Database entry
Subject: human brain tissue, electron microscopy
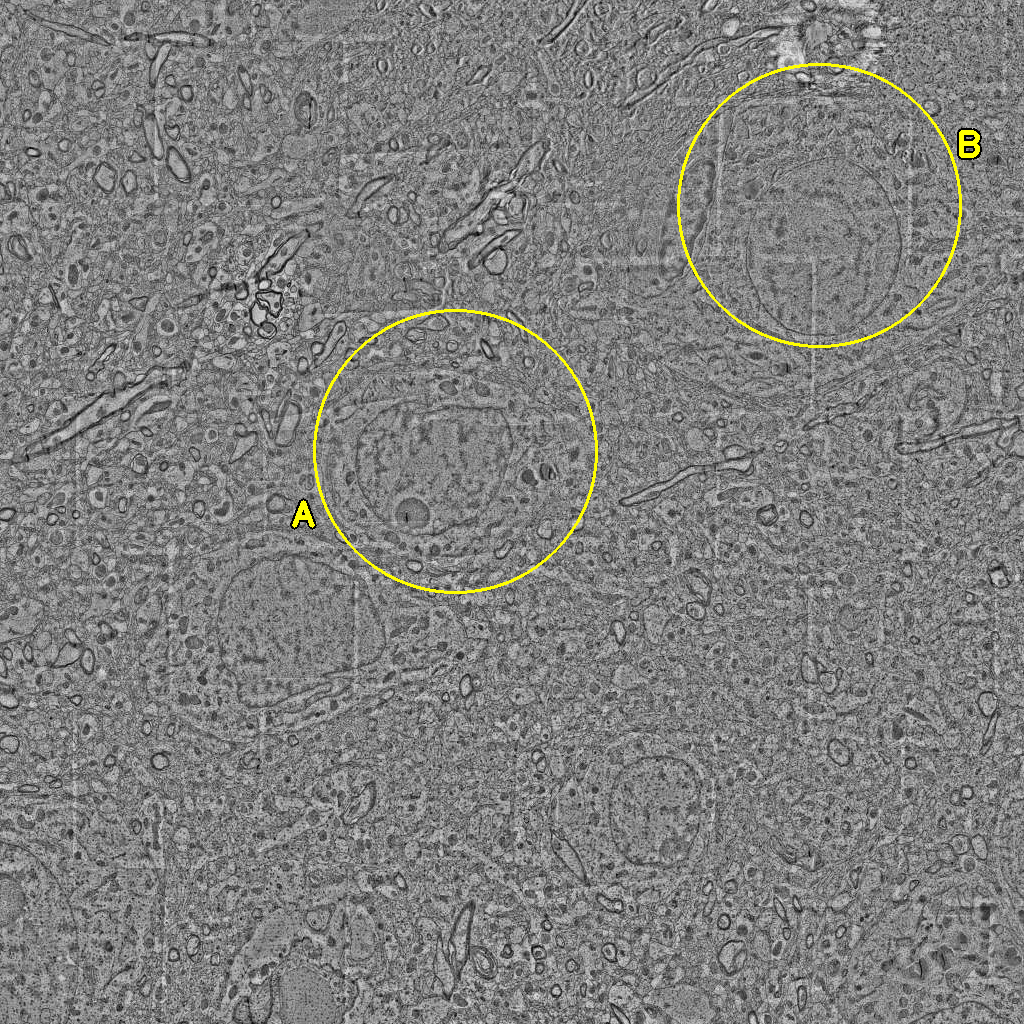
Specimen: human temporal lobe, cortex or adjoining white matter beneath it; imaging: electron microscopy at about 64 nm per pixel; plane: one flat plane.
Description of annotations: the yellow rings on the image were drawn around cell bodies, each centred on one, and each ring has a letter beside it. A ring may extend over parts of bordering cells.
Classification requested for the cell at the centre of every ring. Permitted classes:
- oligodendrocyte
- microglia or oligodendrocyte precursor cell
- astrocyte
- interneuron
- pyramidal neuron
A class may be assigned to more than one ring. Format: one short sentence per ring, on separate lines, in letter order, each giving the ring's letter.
The cell body at the centre of ring A is a pyramidal neuron.
The cell body at the centre of ring B is a pyramidal neuron.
